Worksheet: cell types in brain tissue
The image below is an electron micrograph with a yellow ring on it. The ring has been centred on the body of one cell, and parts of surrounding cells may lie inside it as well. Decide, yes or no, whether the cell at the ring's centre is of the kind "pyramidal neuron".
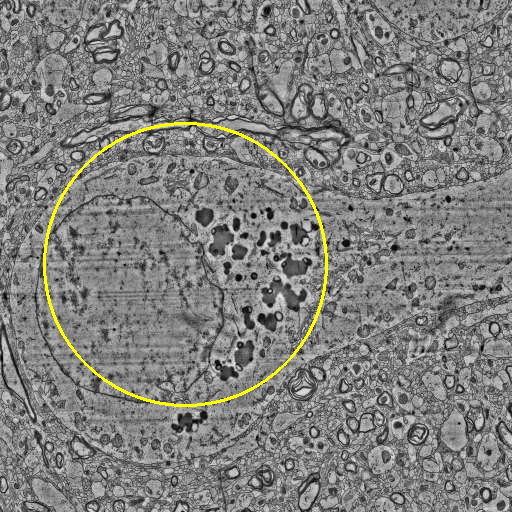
yes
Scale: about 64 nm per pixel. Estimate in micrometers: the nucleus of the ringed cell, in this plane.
In this plane, about 14 micrometres in length and 12 in width.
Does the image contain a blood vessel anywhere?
No, no blood vessel shows in the picture.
